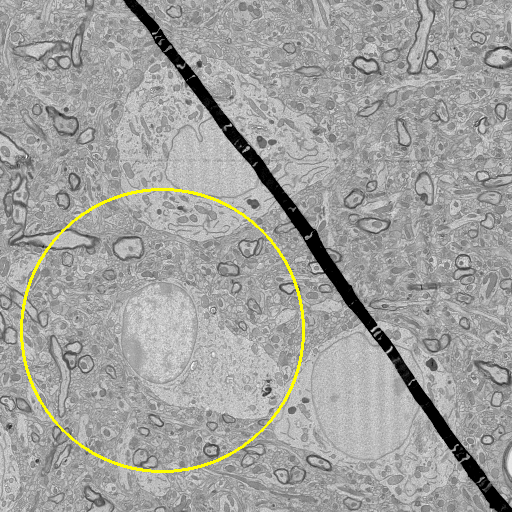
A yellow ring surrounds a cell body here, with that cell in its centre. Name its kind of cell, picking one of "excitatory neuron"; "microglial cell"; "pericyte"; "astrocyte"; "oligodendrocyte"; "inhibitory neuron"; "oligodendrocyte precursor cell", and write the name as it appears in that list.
oligodendrocyte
